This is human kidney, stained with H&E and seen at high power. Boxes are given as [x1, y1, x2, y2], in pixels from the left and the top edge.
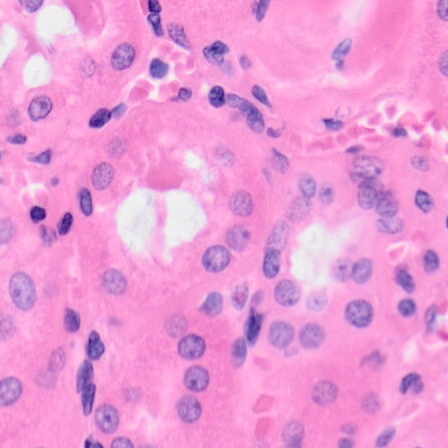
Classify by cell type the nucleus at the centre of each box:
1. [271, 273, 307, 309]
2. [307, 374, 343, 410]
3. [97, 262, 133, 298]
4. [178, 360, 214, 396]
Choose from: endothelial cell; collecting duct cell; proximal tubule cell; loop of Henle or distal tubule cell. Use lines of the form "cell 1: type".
cell 1: collecting duct cell
cell 2: proximal tubule cell
cell 3: proximal tubule cell
cell 4: proximal tubule cell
